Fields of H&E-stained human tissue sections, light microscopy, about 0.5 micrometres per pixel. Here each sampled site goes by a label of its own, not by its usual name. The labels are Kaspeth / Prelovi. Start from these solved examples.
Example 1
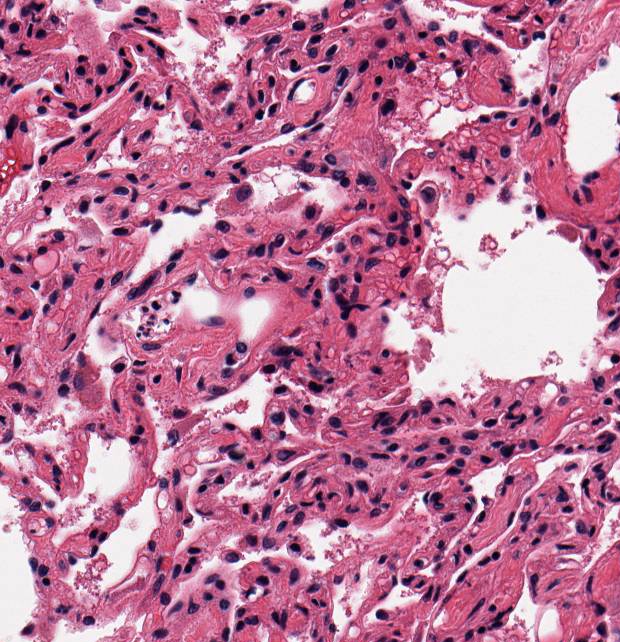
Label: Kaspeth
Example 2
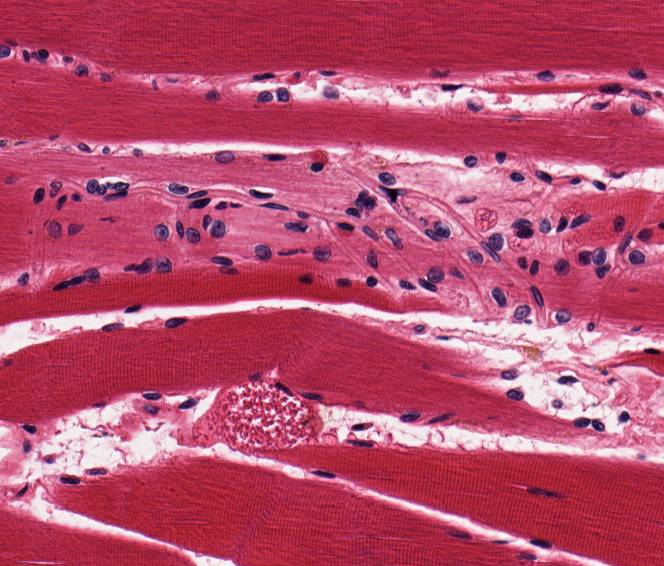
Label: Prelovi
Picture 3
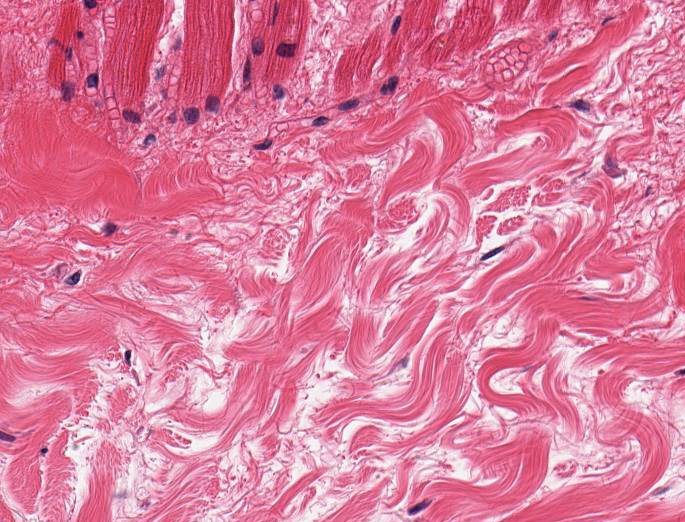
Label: Kaspeth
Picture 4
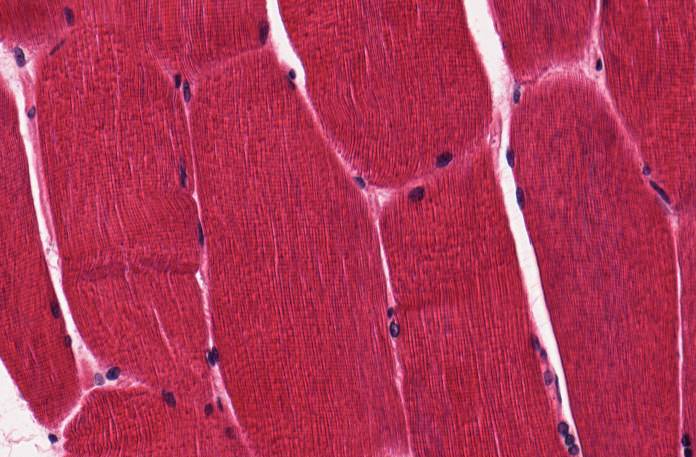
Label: Prelovi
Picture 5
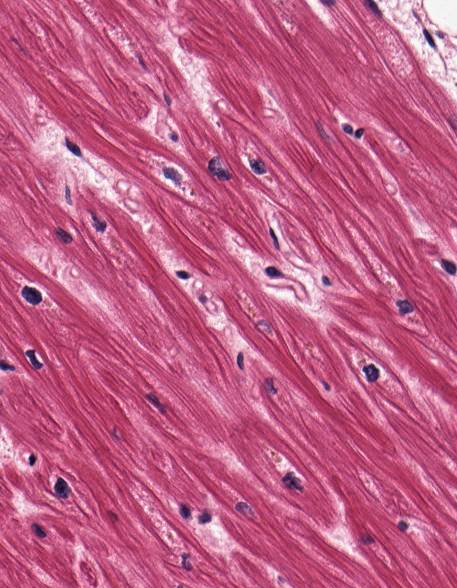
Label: Kaspeth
